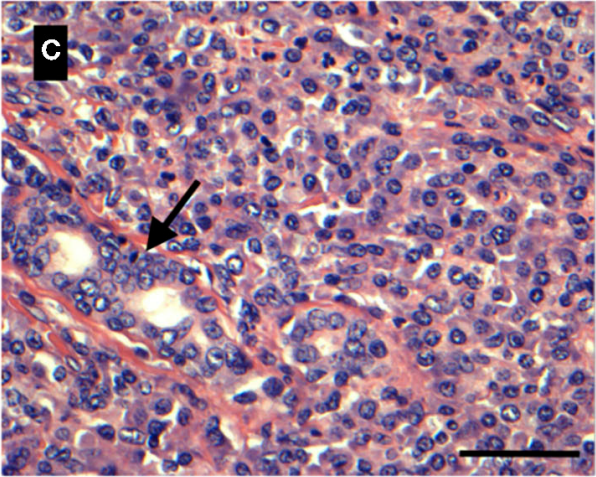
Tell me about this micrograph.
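The tissue is composed of neoplastic lymphoid cells growing in dense sheets, with nuclei that are oval to irregular in outline and moderately dark. Many cells have a rim of pink to purplish cytoplasm, giving some of them a plasma-cell-like look. Thin pink fibrous strands run through the field, and along them lie a few small round clear lumina lined by cells, remnants of ductal structures. The tumor cells surround and abut these scattered lumina. Overall the gland is replaced by a diffuse lymphoid infiltrate with only scattered ducts left.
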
